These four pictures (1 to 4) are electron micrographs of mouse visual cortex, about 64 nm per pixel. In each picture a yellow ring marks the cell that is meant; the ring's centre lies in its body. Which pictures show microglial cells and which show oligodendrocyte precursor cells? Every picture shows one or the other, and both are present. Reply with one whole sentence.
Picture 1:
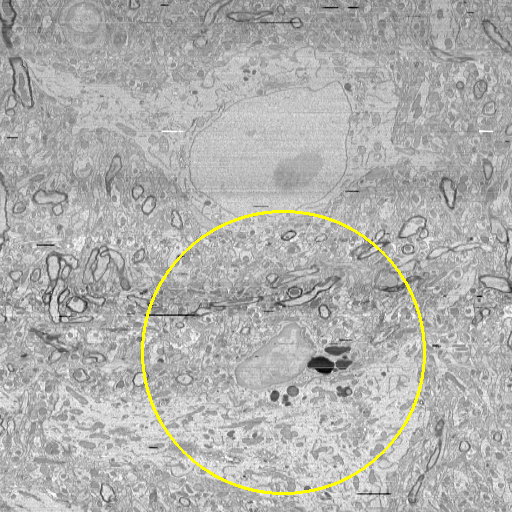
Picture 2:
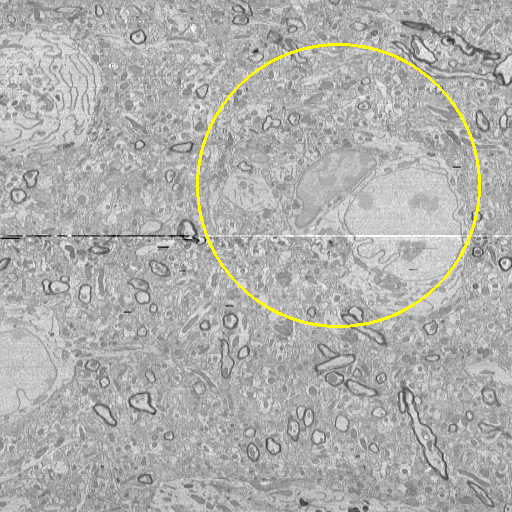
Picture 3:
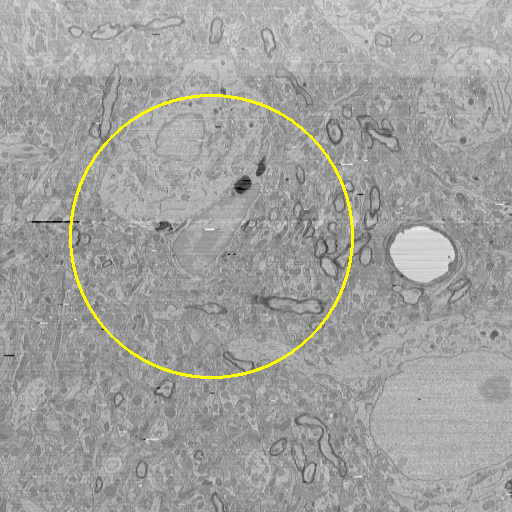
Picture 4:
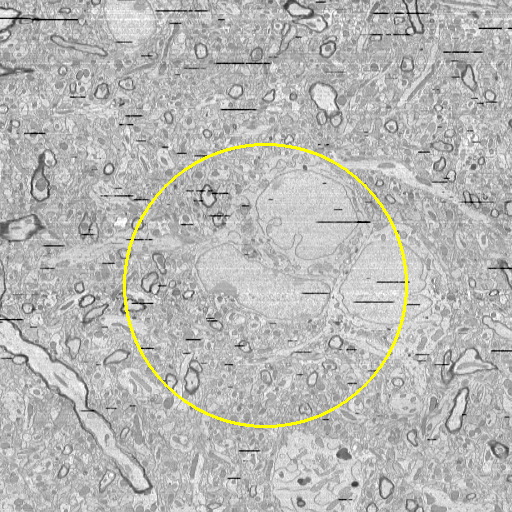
Pictures 1, 2 and 3 show microglial cells, while picture 4 shows an oligodendrocyte precursor cell.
